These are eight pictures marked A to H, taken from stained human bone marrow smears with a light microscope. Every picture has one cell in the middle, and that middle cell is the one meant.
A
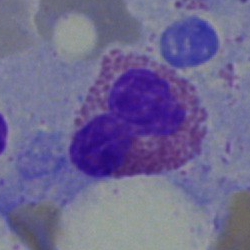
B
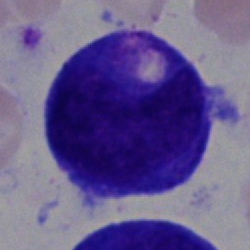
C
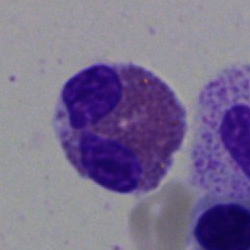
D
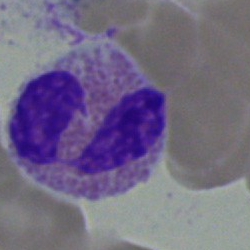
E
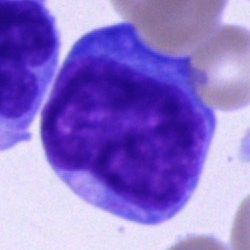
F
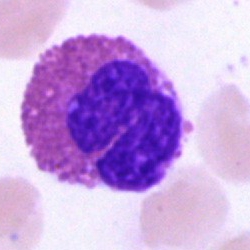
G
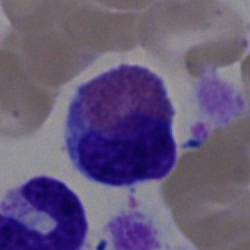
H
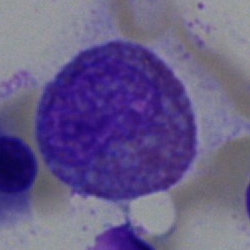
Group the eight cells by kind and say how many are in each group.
eosinophil: 6
blast: 2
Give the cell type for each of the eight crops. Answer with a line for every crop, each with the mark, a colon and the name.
A: eosinophil
B: blast
C: eosinophil
D: eosinophil
E: blast
F: eosinophil
G: eosinophil
H: eosinophil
